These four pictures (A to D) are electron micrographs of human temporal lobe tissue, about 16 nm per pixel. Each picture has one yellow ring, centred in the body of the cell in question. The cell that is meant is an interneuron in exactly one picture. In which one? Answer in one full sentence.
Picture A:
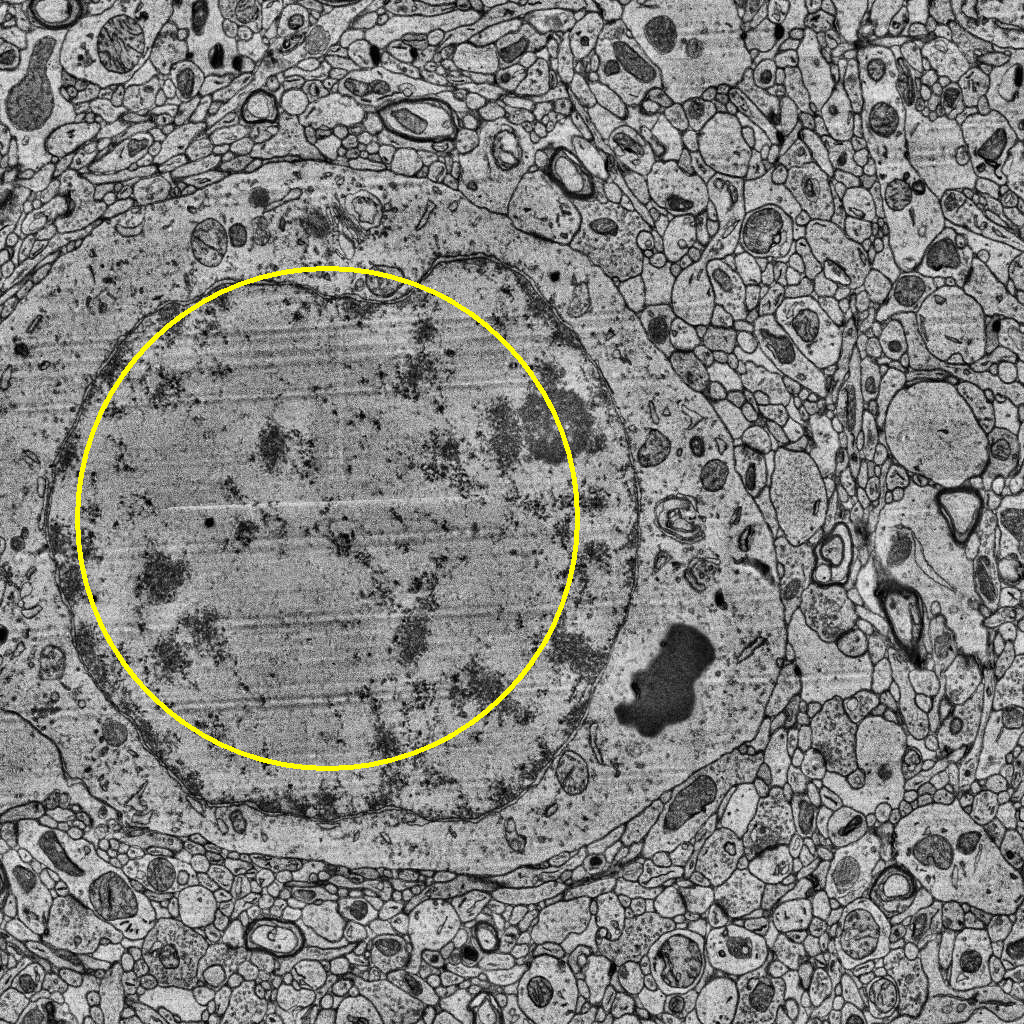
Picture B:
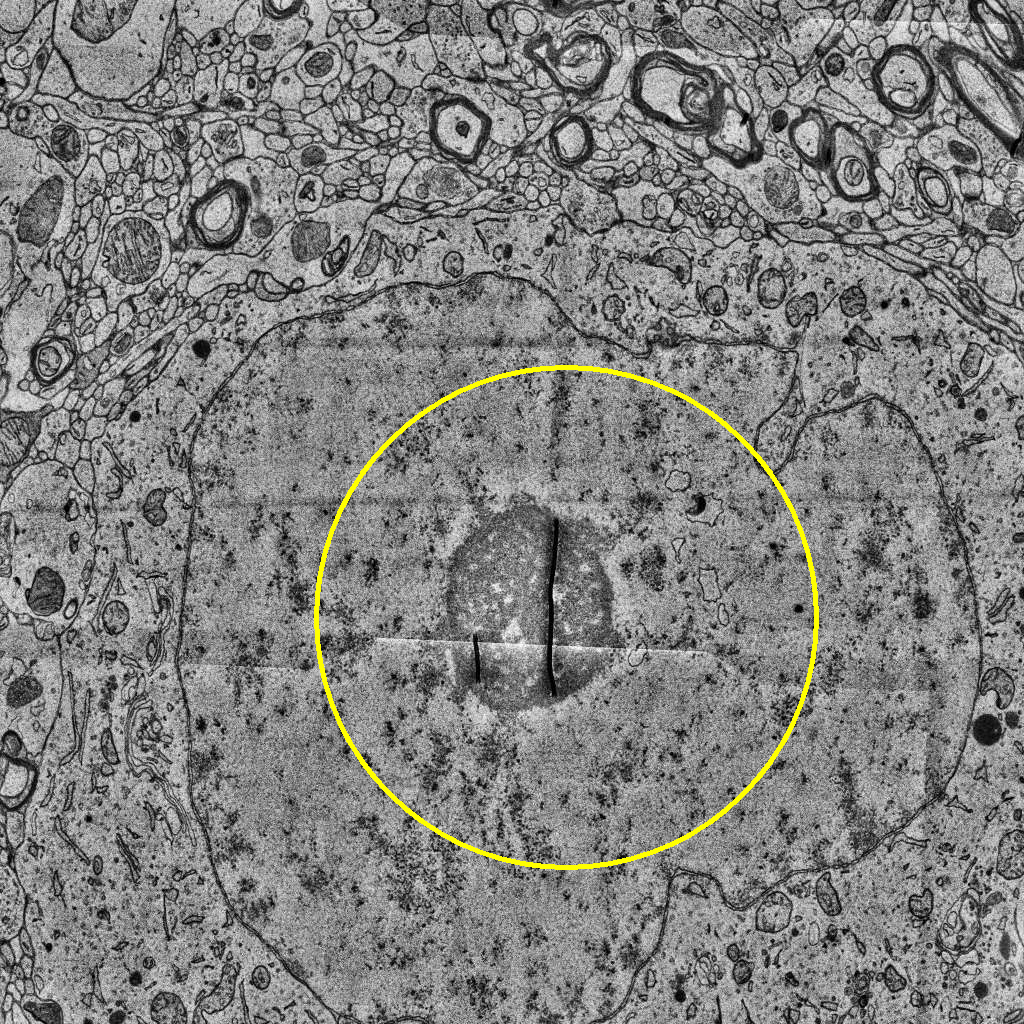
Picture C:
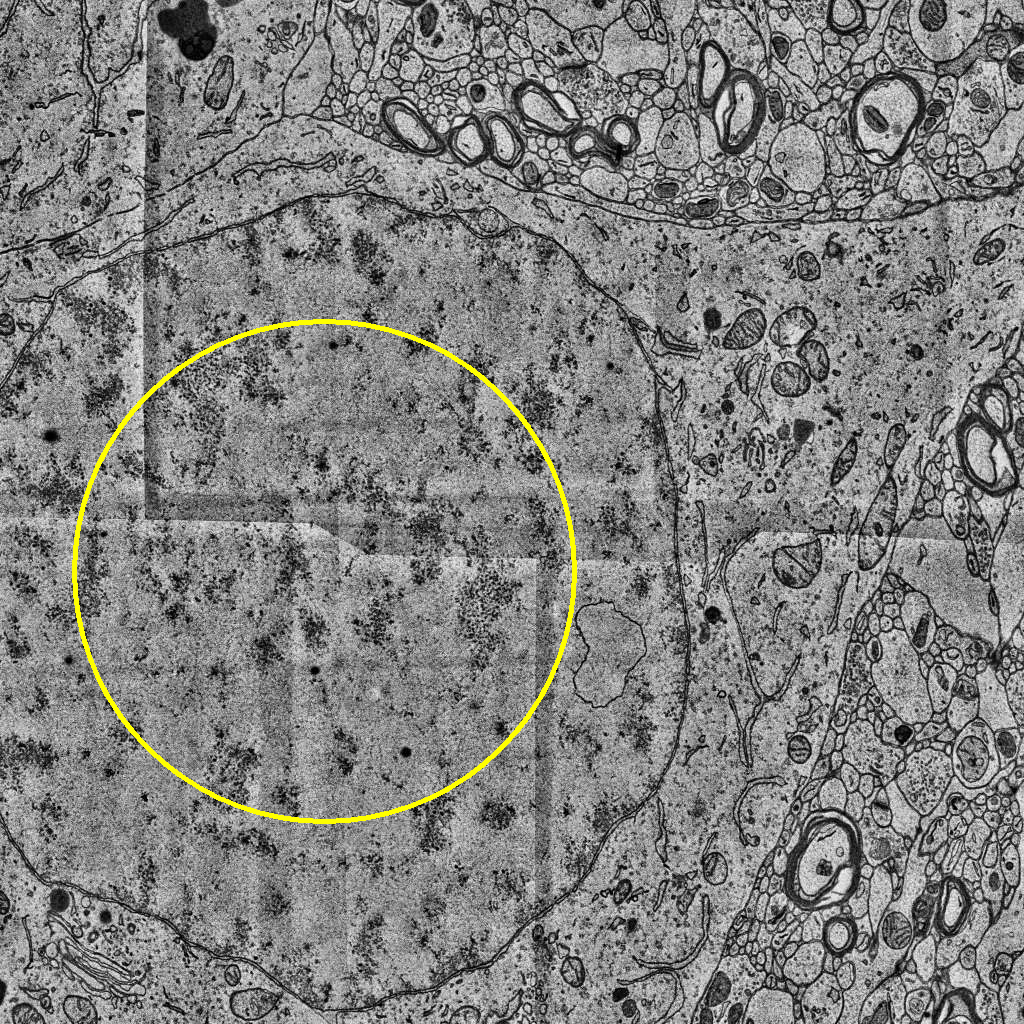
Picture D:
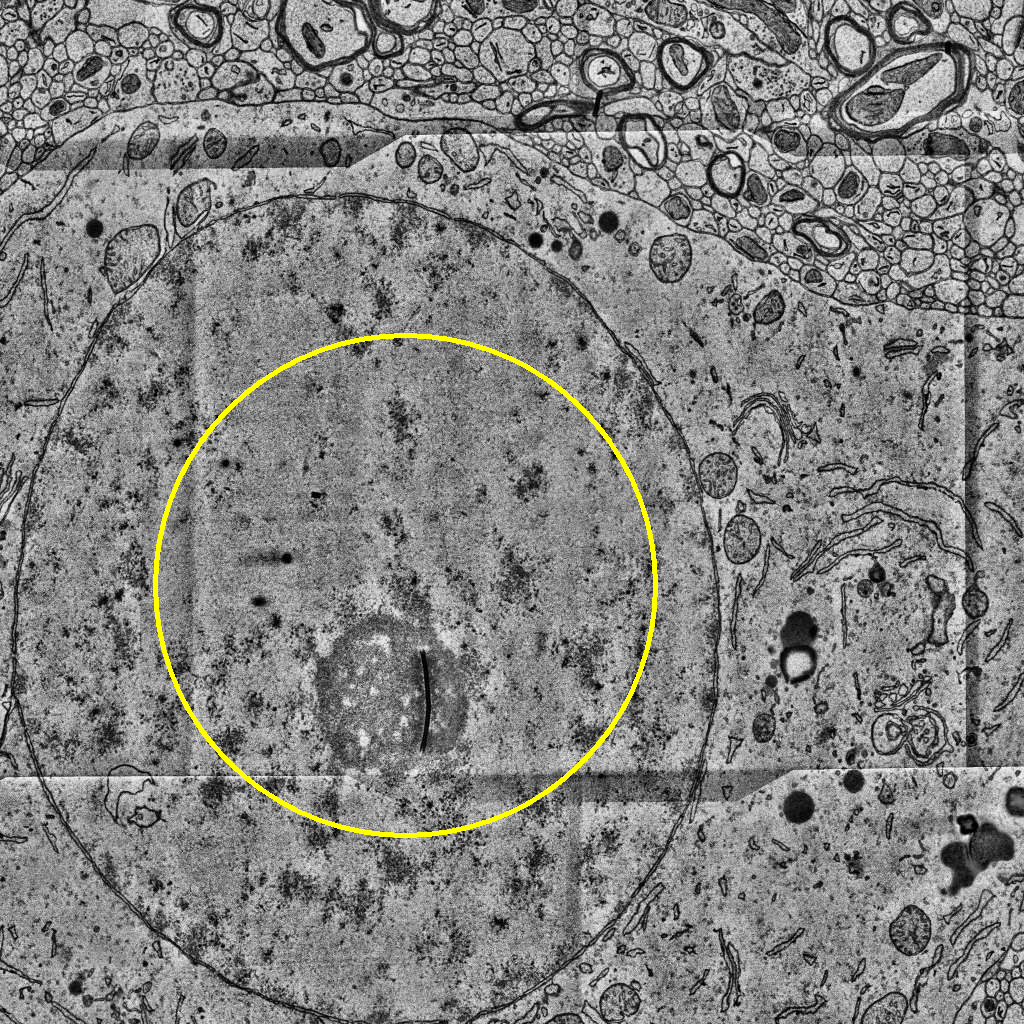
It is picture A that shows the interneuron.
